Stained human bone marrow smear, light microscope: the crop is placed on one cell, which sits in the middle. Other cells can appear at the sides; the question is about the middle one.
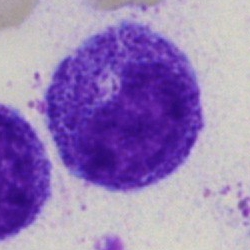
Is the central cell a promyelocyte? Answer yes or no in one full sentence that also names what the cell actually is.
Yes, the cell at the very centre of the crop is a promyelocyte.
